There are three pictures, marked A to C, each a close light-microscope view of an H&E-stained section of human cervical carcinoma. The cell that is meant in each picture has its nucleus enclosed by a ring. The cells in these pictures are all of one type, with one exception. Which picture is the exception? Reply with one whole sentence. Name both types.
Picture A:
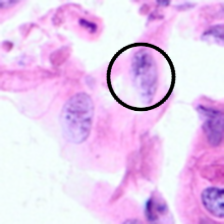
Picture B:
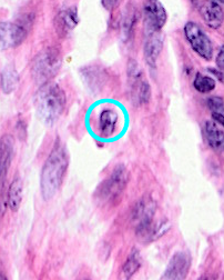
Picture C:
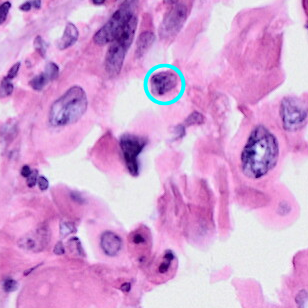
All pictures except A show “macrophages or monocytes”; picture A shows a squamous carcinoma cell.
